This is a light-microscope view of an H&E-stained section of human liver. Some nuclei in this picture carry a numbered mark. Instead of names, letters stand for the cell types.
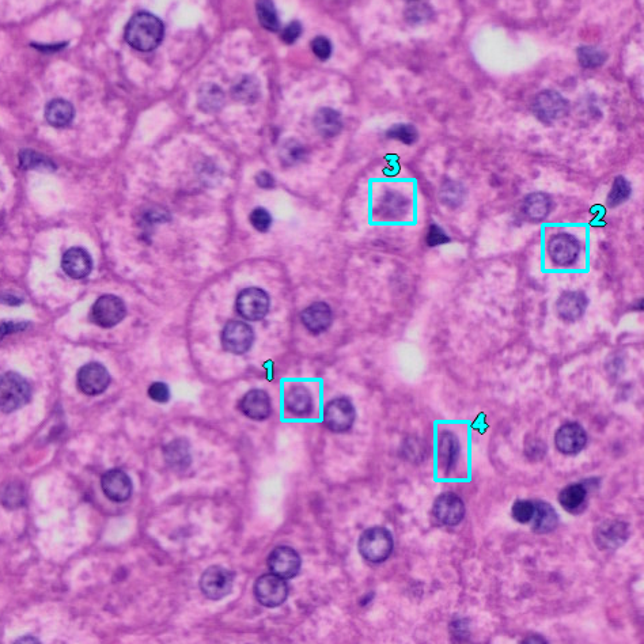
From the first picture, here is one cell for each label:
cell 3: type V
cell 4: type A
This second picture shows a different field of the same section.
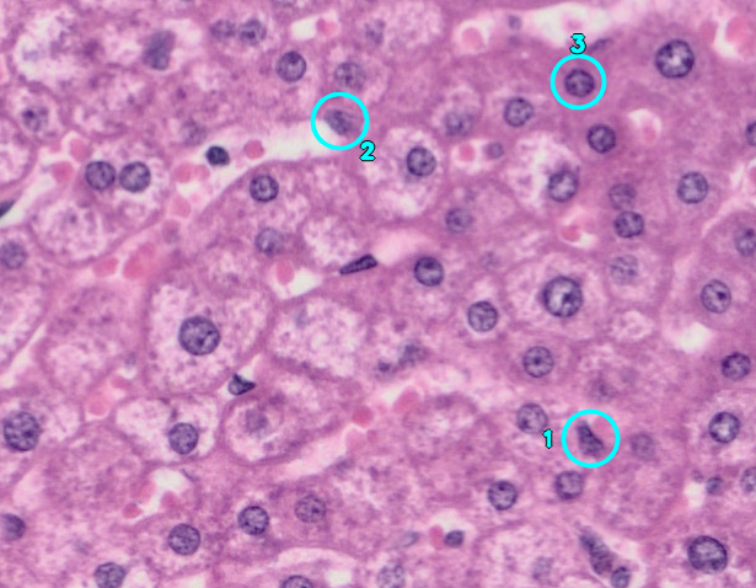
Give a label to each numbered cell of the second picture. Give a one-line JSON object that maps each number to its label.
{"1": "type A", "2": "type A", "3": "type V"}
